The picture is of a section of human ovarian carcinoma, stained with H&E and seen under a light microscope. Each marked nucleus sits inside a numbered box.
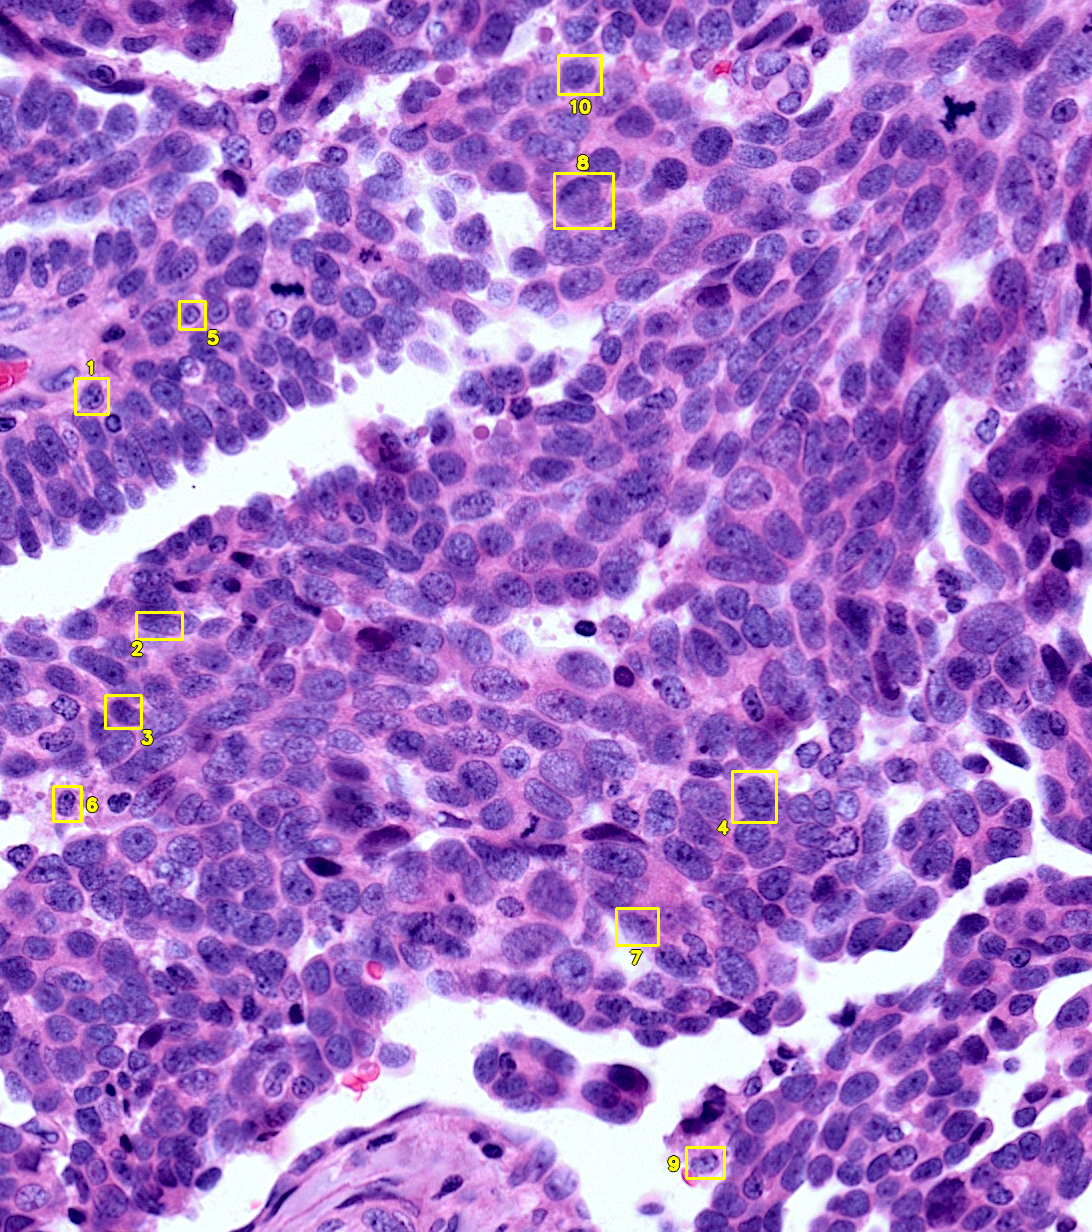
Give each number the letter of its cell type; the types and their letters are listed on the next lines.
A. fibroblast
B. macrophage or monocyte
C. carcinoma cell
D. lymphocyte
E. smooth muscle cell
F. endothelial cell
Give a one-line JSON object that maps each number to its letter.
{"1": "B", "2": "C", "3": "C", "4": "C", "5": "B", "6": "B", "7": "C", "8": "C", "9": "B", "10": "C"}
